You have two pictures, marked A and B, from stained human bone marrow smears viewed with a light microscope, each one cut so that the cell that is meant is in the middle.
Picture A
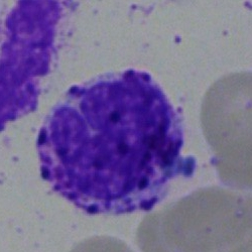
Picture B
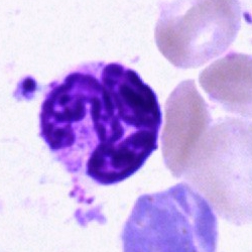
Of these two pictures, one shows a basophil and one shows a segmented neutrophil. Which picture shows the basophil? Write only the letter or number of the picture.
A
